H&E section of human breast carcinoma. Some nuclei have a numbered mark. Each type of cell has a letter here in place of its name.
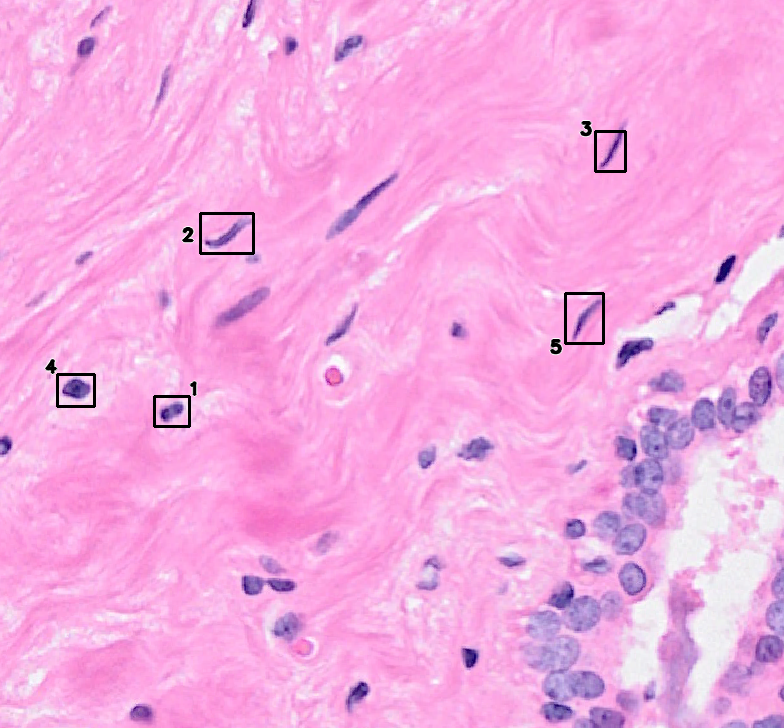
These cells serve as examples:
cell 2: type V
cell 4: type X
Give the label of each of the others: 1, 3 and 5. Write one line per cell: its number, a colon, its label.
1: type X
3: type V
5: type V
